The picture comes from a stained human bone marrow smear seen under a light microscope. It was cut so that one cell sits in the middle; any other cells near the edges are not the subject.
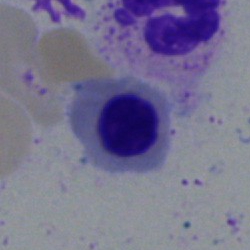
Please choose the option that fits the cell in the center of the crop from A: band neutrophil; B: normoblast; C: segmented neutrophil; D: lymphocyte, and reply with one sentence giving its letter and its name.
As the central cell is a normoblast, option B is correct.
